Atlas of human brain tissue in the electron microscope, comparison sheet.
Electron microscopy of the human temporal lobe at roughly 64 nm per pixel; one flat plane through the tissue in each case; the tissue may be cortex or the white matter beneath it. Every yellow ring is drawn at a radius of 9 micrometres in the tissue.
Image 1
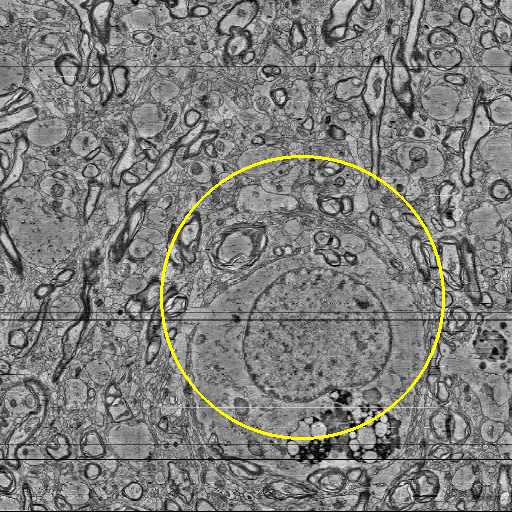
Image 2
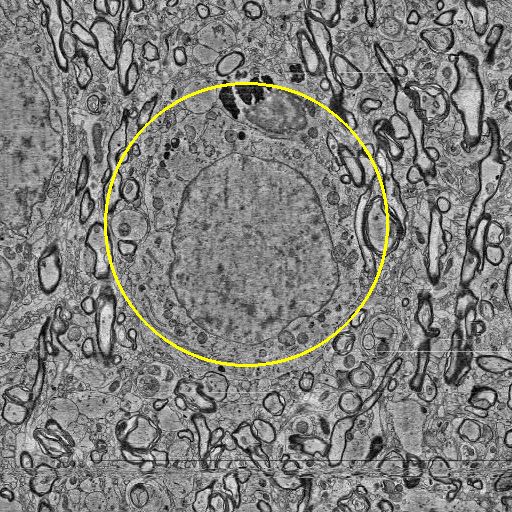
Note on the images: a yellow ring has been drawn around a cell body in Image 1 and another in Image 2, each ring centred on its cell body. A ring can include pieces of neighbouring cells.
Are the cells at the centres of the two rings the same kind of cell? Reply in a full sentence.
No, the two cells are of two kinds.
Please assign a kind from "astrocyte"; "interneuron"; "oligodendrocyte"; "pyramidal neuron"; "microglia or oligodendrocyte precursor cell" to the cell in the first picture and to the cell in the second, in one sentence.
In the first picture we have an astrocyte, and in the second, an interneuron.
